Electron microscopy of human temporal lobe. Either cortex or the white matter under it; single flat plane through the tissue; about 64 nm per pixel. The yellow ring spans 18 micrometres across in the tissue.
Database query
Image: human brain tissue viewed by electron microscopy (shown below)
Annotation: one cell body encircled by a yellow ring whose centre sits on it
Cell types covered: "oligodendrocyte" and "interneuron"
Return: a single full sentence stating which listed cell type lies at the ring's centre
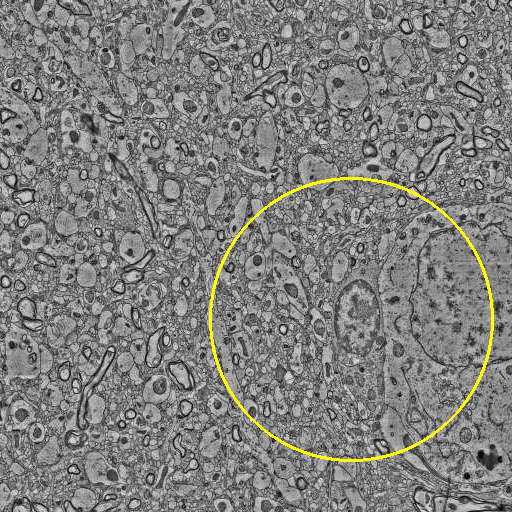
In the image, the cell lying at the ring's centre is an oligodendrocyte.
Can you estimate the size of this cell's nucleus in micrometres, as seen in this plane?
Roughly 4 micrometres by 3 micrometres, in this plane.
